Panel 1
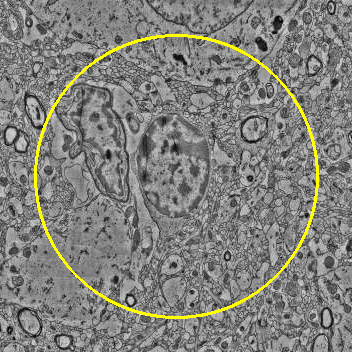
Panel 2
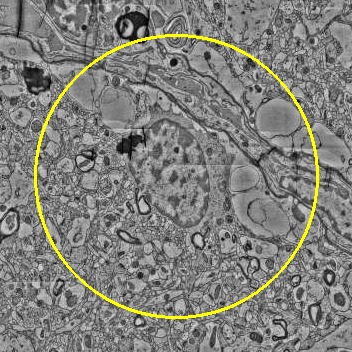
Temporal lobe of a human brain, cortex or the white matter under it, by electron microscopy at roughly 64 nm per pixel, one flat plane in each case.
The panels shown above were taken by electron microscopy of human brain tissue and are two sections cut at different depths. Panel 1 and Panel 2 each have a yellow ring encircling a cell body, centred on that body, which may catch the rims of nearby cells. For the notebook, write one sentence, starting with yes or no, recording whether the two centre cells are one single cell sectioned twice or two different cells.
No, in this micrograph the two rings mark two different cells.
